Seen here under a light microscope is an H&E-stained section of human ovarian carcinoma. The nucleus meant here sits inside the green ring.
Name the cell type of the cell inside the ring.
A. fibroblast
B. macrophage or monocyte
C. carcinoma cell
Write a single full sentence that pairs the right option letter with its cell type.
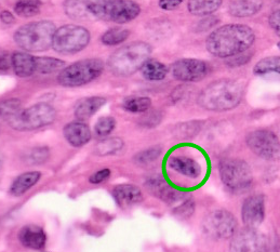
The correct option is B, as the cell inside the ring is a macrophage or monocyte.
